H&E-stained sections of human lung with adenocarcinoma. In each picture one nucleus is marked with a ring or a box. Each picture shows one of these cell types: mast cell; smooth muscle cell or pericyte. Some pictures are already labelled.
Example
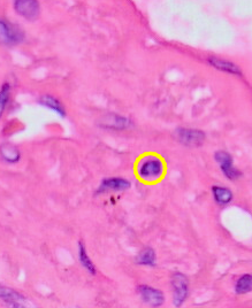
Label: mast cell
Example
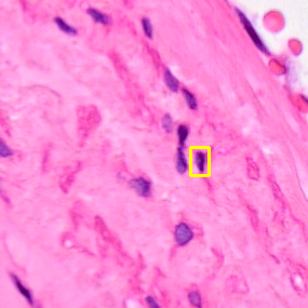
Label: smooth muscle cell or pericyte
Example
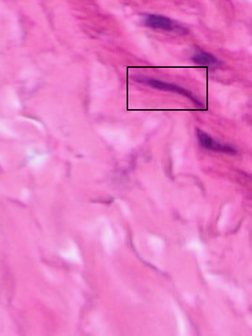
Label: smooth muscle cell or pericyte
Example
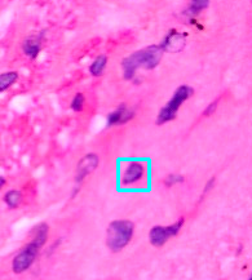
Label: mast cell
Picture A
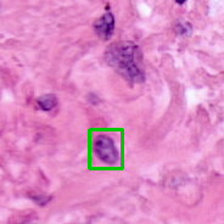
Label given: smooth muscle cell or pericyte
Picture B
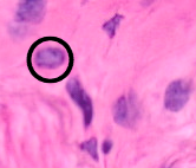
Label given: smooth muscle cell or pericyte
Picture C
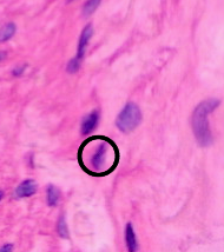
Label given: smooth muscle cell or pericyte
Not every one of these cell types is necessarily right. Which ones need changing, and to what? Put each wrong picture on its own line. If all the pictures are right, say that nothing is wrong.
A should be mast cell, not smooth muscle cell or pericyte
B should be mast cell, not smooth muscle cell or pericyte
